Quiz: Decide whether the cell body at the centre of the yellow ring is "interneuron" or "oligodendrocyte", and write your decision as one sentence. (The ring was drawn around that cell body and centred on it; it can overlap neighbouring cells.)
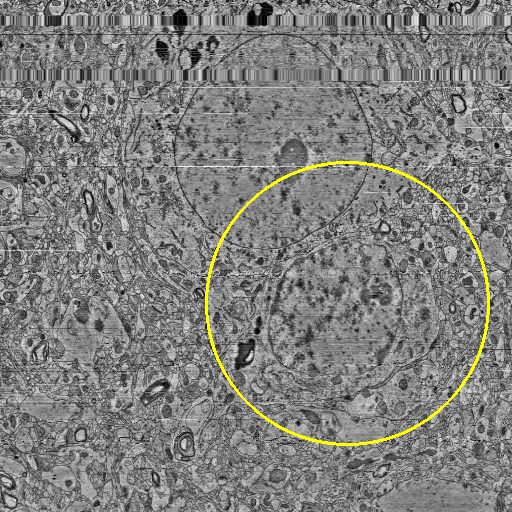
The cell the ring is centred on is an interneuron.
